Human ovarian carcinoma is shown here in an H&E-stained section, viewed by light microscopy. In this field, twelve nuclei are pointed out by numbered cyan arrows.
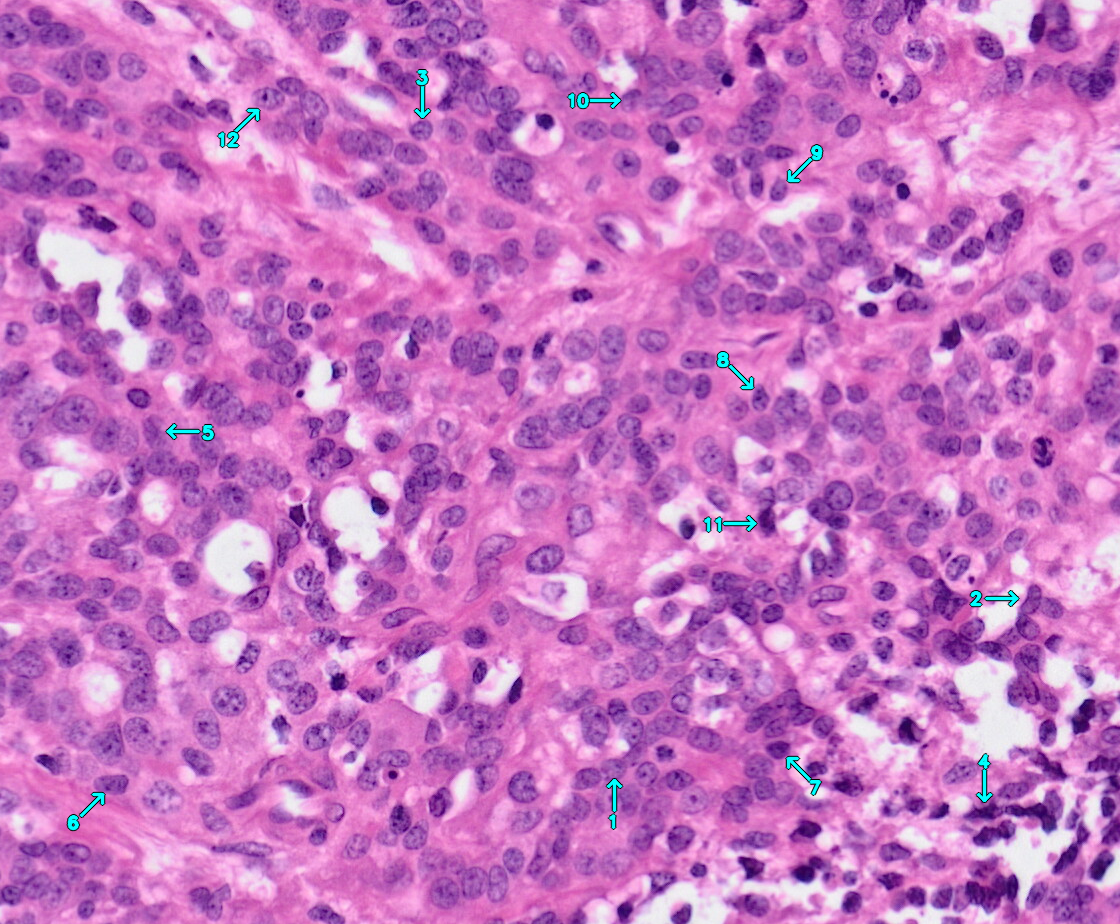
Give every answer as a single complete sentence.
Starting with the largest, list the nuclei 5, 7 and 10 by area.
Largest first, the order by area is 5, 10, 7.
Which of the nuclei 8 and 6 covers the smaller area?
Number 8 is smaller, since number 6 takes up about 2 times as much area.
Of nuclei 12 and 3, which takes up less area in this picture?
Number 3 is smaller, since number 12 takes up about 1.5 times as much area.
